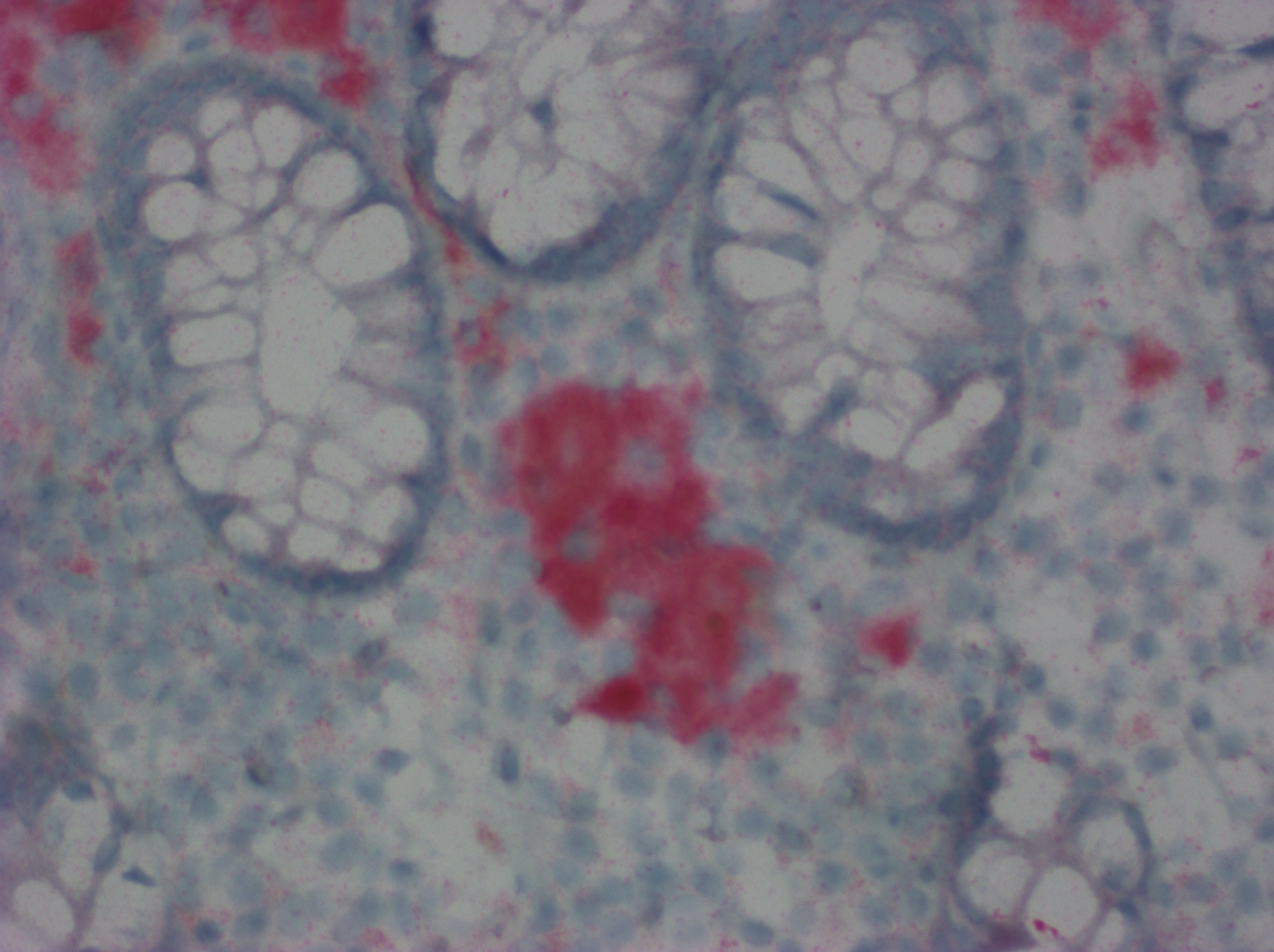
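This is glandular mucosa with several round to oval crypts, each lined by a single layer of epithelium packed with pale, rounded mucin vacuoles of goblet cells. The epithelial nuclei are small, dark and pushed to the outer rim of each crypt. Between the crypts lies a cellular stroma of crowded small round blue-grey nuclei. In the centre, between two crypts, an irregular cluster of cells stands out with intense red cytoplasm, and pale nuclei show through in places. A few smaller red-stained cells or fragments are scattered elsewhere in the stroma, mainly near the upper edge of the field.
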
